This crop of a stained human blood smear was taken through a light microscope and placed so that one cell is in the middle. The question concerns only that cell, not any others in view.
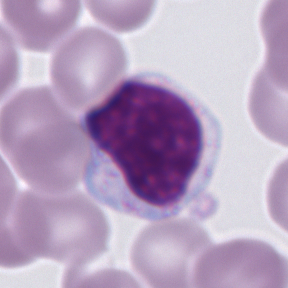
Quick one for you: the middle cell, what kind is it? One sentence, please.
This crop is built around a large granular lymphocyte at its centre.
